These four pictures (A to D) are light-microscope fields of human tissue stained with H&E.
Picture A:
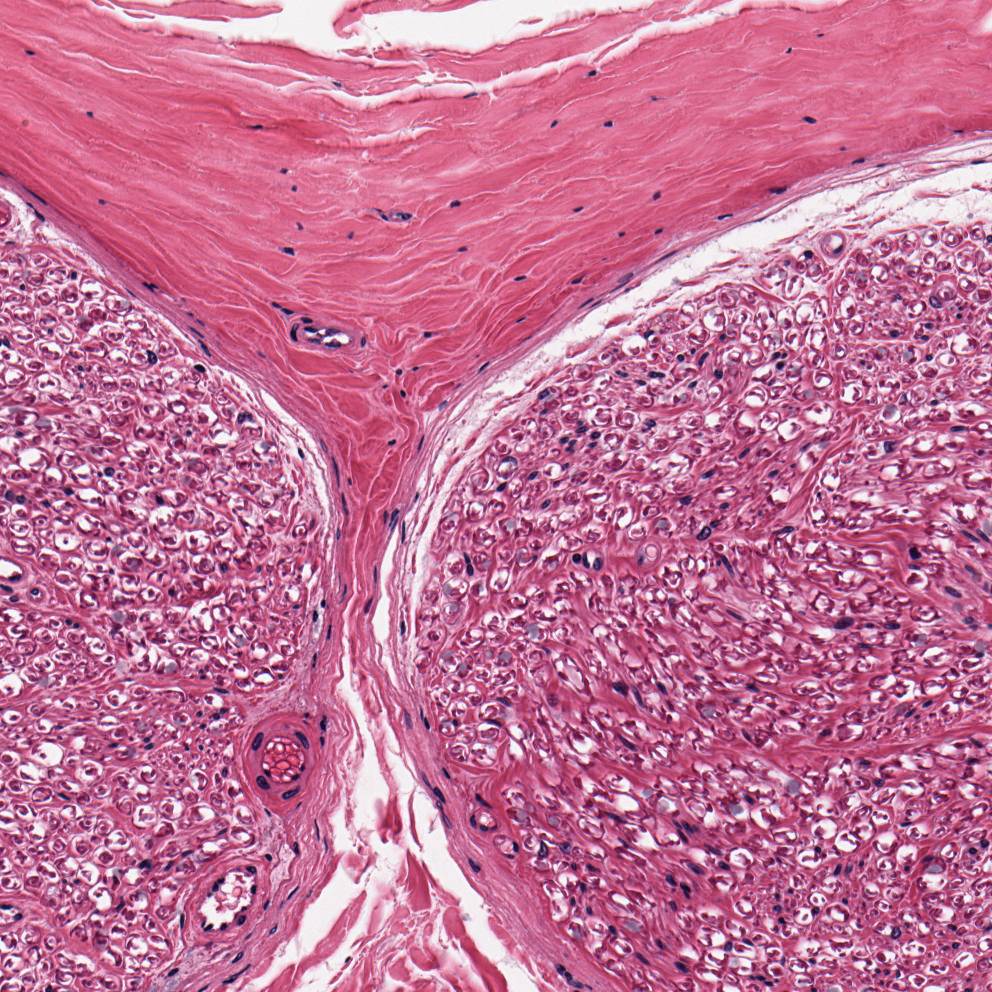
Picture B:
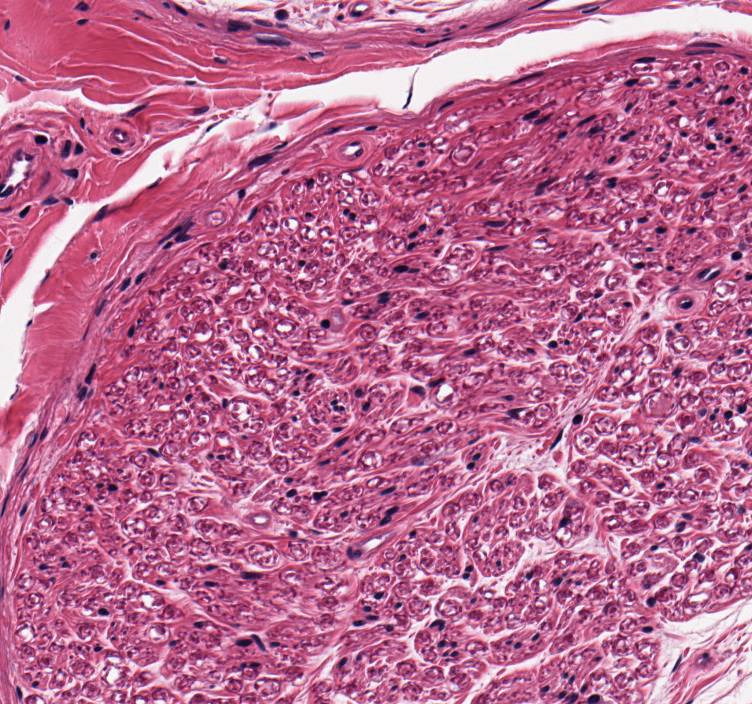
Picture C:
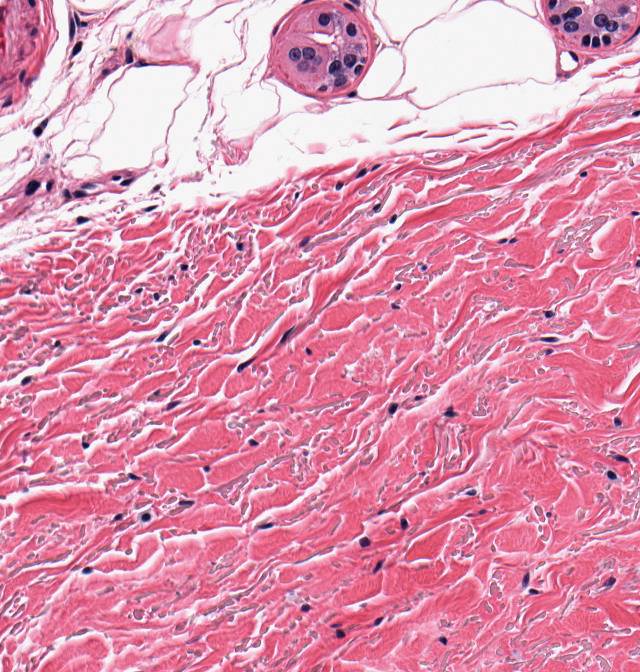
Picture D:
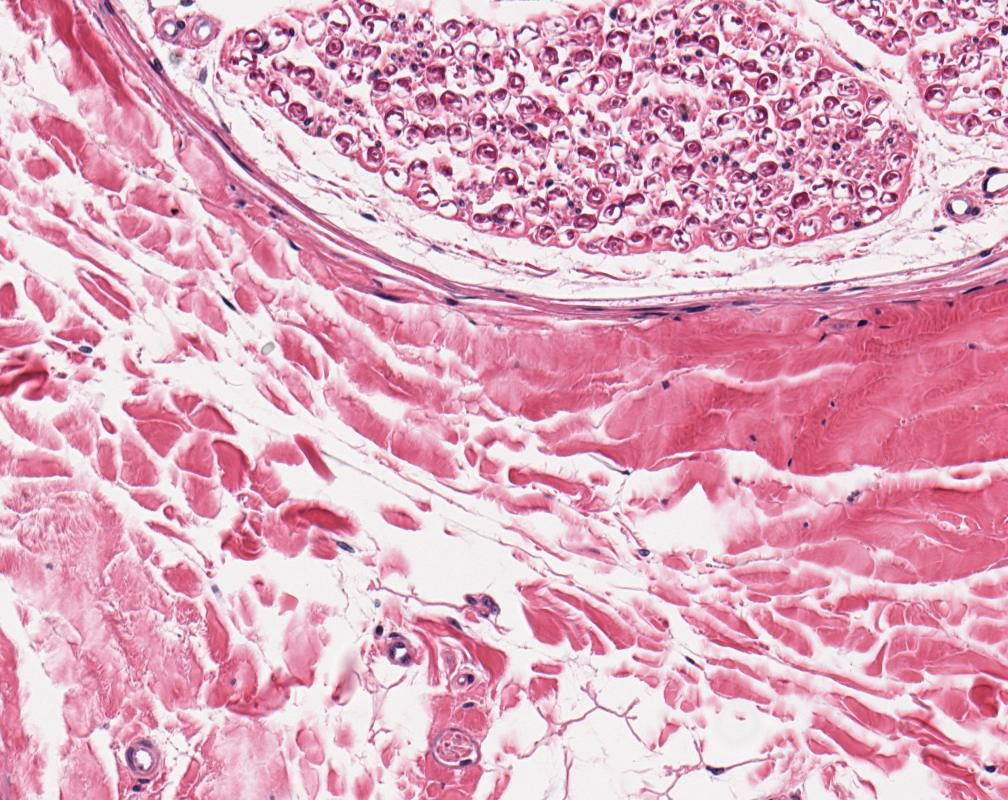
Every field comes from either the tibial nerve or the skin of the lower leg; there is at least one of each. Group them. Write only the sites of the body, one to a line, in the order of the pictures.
tibial nerve
tibial nerve
skin of the lower leg
tibial nerve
